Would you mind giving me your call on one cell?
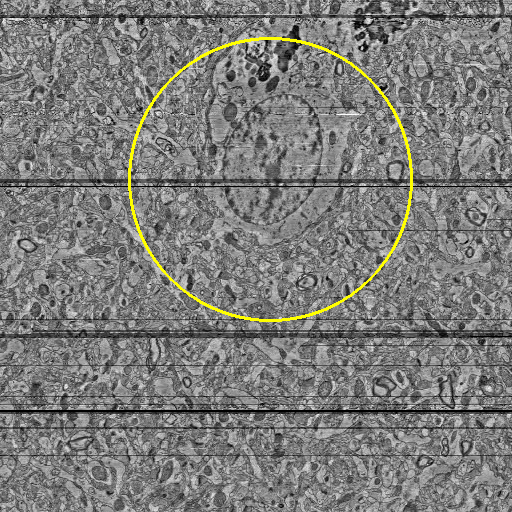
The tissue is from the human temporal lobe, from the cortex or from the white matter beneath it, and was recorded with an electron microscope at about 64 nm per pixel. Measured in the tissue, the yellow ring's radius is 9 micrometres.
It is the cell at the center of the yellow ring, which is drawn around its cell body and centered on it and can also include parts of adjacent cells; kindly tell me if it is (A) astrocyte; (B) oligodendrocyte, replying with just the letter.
A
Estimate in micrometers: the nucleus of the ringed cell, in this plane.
Approximately 9 by 6 micrometers in this plane.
